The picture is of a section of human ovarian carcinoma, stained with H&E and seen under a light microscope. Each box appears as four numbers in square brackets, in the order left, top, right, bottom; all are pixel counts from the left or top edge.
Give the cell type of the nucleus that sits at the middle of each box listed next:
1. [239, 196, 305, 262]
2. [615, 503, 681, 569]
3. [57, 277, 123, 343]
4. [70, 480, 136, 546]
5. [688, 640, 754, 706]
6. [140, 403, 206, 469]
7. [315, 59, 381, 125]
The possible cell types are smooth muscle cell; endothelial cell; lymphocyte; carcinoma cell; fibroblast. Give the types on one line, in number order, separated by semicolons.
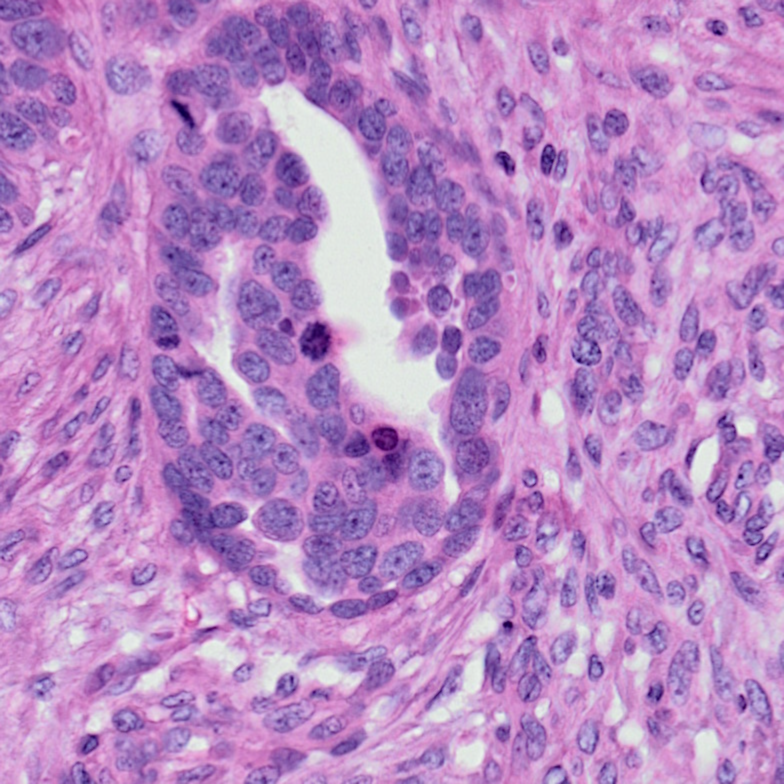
carcinoma cell; fibroblast; fibroblast; fibroblast; fibroblast; carcinoma cell; carcinoma cell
